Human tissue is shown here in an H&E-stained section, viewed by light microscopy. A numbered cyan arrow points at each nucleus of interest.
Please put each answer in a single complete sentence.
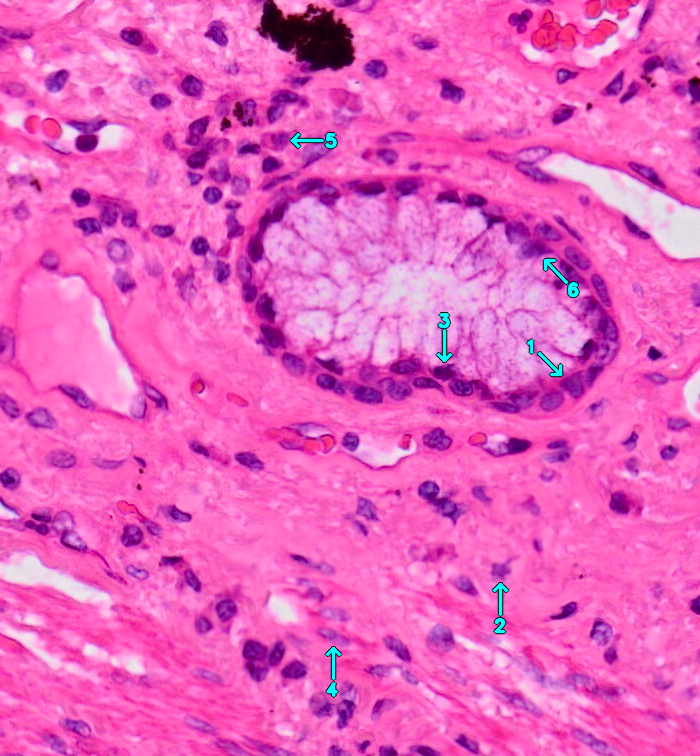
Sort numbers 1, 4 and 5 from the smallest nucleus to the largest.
Smallest first, the nuclei run 5, 4, 1.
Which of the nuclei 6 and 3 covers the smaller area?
It is nucleus 3; nucleus 6 has about 2 times its area.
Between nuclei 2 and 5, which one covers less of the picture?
The smaller nucleus is 5, and 2 covers roughly 1.5 times its area.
